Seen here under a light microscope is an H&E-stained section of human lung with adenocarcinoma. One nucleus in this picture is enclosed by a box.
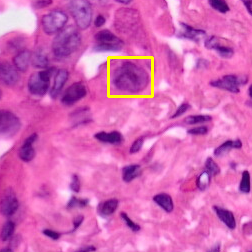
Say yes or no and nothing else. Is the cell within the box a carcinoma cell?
yes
